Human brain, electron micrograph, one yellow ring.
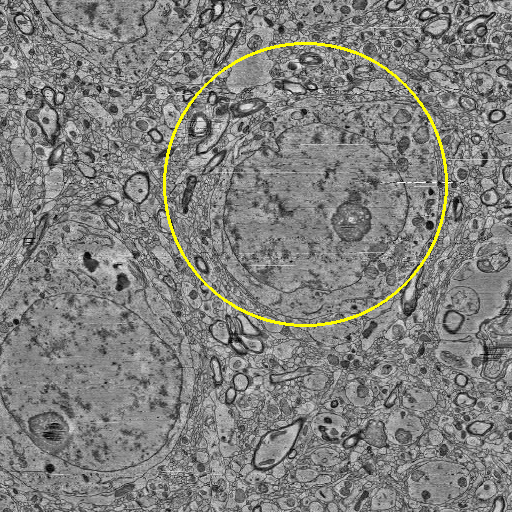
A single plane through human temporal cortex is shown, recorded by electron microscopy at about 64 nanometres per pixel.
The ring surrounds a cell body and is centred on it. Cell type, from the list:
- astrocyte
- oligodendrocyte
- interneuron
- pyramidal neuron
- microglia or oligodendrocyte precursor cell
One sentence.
The yellow ring circles a pyramidal neuron.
